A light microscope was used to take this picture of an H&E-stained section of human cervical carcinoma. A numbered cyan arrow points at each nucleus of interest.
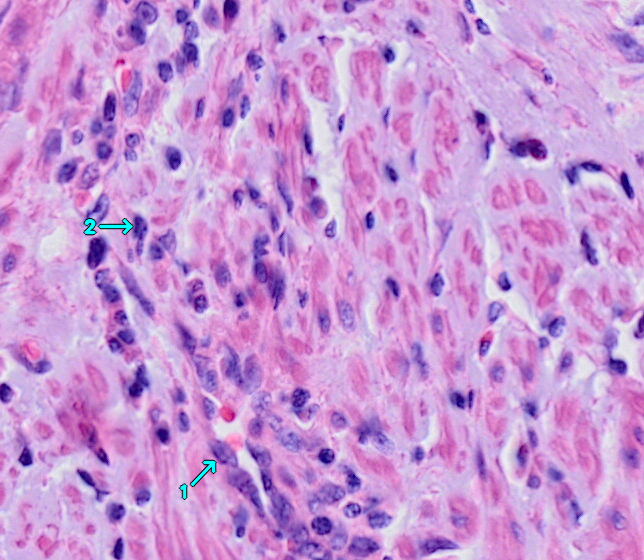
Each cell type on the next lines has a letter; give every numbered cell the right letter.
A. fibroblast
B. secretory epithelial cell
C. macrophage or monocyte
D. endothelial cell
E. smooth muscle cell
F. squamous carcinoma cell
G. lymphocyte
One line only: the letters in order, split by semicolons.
D; G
